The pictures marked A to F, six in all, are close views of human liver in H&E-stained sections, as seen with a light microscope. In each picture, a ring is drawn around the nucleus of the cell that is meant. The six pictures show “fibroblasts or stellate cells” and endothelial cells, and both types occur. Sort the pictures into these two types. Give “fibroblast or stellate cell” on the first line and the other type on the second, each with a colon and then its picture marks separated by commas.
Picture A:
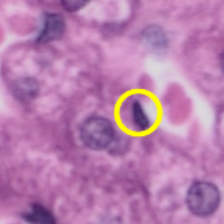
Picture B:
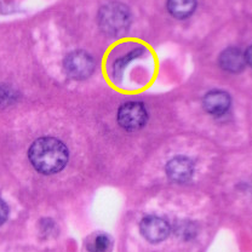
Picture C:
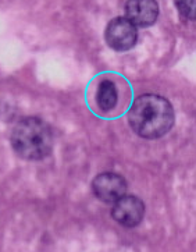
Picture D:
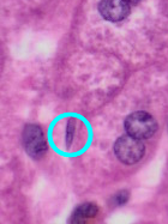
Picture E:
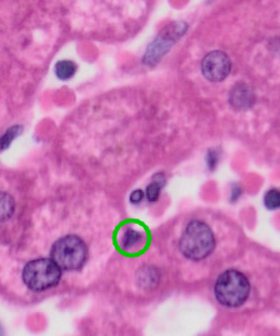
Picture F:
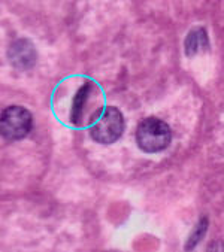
fibroblast or stellate cell: A, C, E
endothelial cell: B, D, F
